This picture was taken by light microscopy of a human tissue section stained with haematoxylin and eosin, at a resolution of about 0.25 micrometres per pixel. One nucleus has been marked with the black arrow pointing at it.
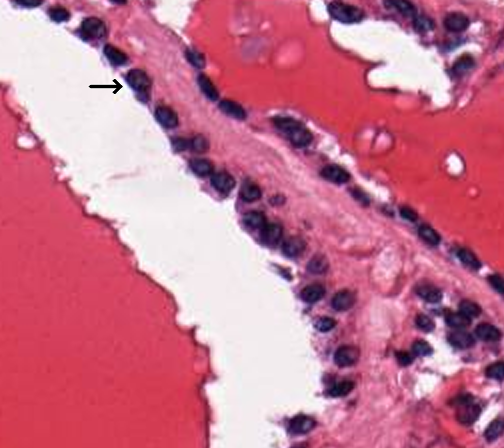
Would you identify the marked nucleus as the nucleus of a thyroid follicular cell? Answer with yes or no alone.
yes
